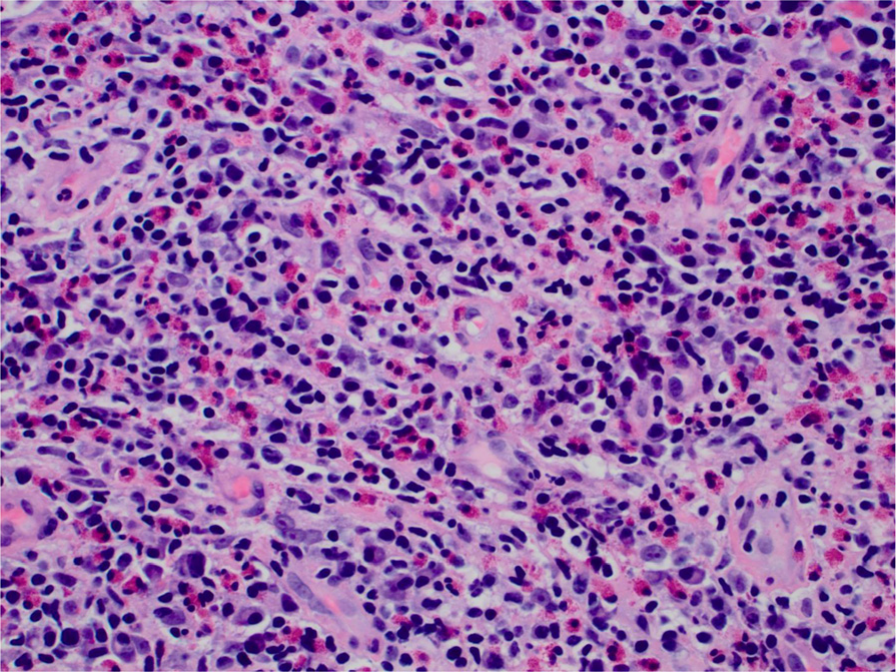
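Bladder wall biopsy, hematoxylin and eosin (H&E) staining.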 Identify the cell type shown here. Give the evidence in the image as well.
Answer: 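Eosinophils. Many cells have coarse bright red-orange granules filling the cytoplasm. Several of these granular cells have dark, lobed nuclei. The granular cells are scattered densely throughout the field.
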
